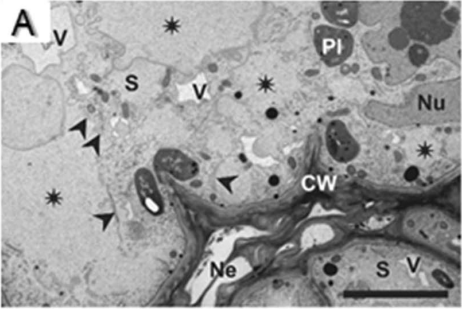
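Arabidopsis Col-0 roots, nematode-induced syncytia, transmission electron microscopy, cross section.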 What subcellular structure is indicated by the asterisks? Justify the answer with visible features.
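The asterisks lie in broad, evenly grey areas of cytoplasm.
Conclusion: organelle-free regions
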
